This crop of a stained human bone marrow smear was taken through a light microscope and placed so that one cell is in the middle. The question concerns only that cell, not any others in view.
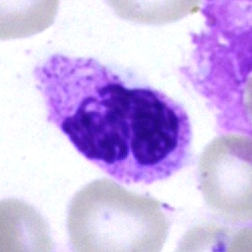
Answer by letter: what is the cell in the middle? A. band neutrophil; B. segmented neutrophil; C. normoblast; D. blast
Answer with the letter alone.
B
